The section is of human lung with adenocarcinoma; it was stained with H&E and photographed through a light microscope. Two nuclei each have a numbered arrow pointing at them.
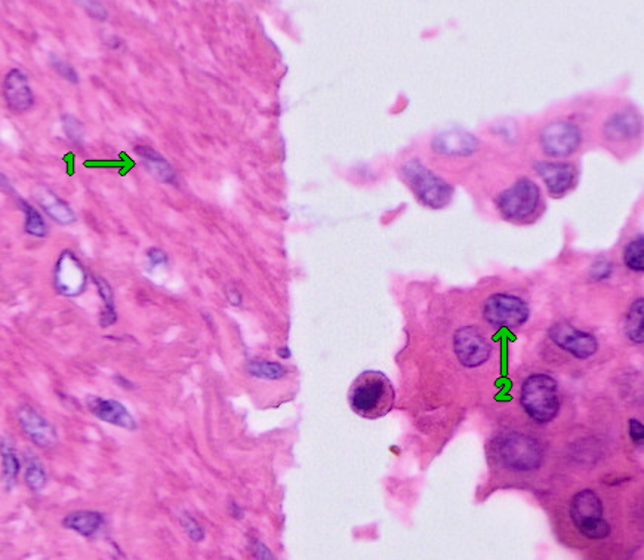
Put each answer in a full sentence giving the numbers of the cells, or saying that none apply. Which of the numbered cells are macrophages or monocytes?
There is only one numbered cell that is a macrophage or monocyte, and it is cell 2.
